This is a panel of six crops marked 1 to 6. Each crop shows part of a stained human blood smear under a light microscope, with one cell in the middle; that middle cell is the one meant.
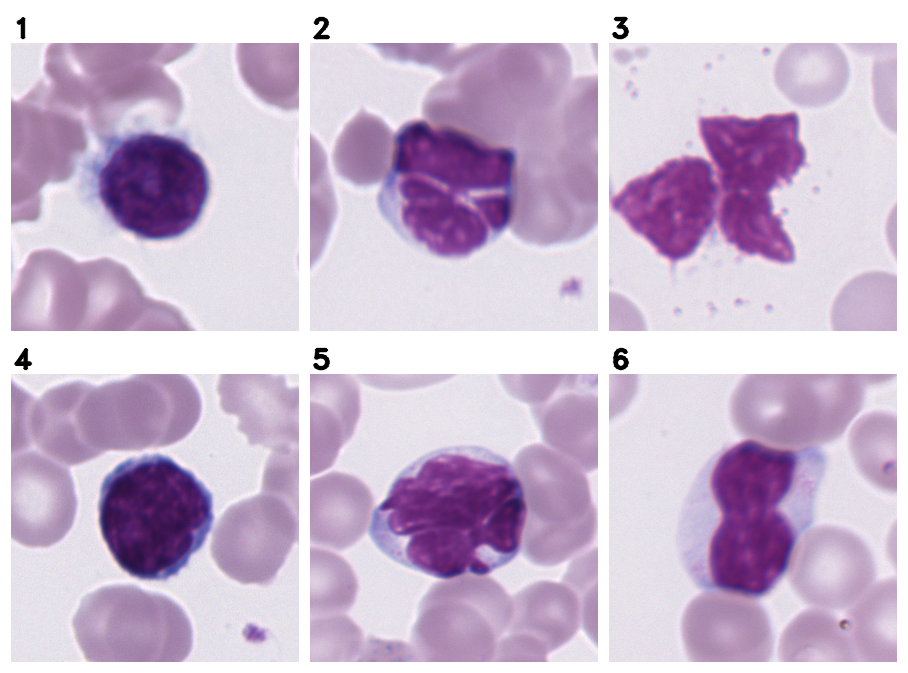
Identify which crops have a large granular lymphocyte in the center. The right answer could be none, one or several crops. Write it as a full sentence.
The central cells of crops 2, 5 and 6 fall into the category of large granular lymphocytes.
